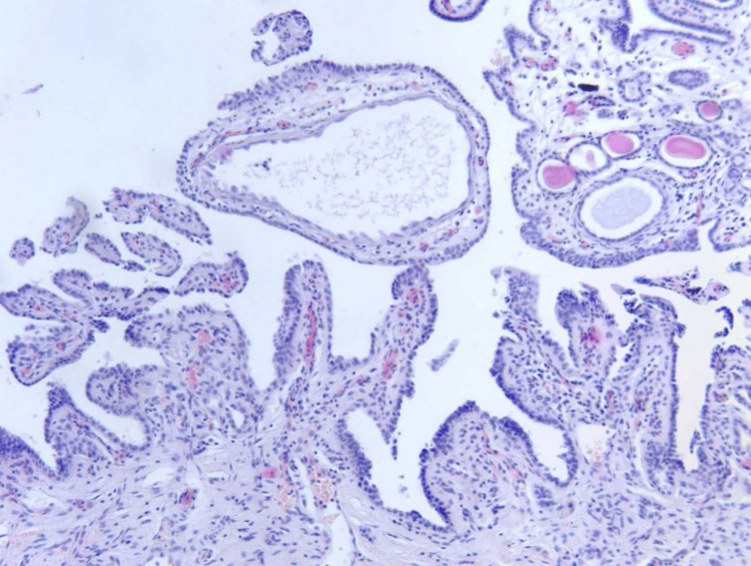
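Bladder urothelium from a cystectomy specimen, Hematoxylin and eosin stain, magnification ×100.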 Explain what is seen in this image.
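Along the lower half, slender papillary fronds project upward from a pale pink fibrous stroma; each has a thin core with small vessels containing red blood cells and is covered by a single layer of small cuboidal cells with dark purple nuclei. At the upper right, small round tubules and cysts lie in the stroma, several filled with homogeneous pink material, lined by flattened to cuboidal cells. At the top, a larger cyst-like space with a thin wall and faint wispy contents is lined by a similar single cell layer.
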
